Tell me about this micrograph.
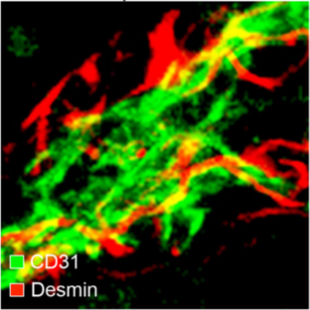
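Part of the red signal forms bright clumps and strands lying apart from the green vessels, especially at the upper edge. Some red strands still follow the green tubes, giving yellow overlap in places. Single nuclei cannot be made out.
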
